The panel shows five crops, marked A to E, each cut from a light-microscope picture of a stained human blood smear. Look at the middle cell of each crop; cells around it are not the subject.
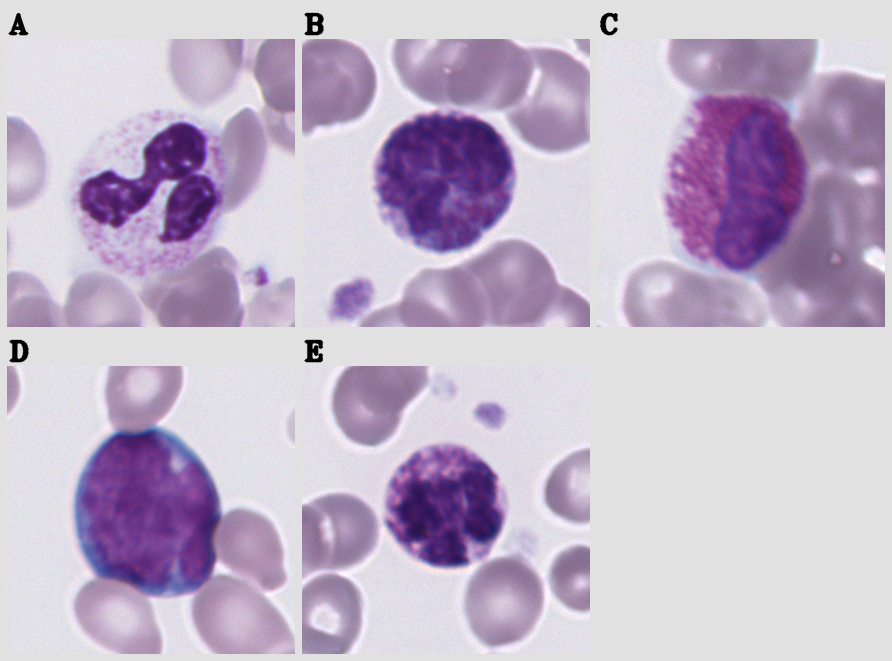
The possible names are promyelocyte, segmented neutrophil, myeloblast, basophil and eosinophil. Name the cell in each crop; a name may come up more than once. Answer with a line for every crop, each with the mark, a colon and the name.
A: segmented neutrophil
B: basophil
C: eosinophil
D: myeloblast
E: basophil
